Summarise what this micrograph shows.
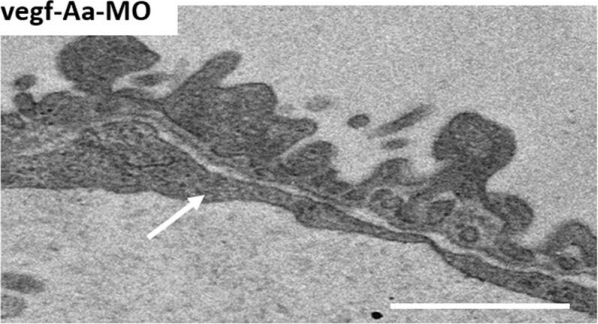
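This electron micrograph shows part of a glomerular filtration barrier with podocyte effacement and endotheliosis. A thin, pale basement membrane runs diagonally across the field. Above it, podocyte cytoplasm forms broad, irregular, dark bulges instead of a neat row of small separate foot processes; only a few small rounded profiles lie detached in the pale urinary space. Below the membrane, a thick, dense layer of cytoplasm lines the capillary side, lacking obvious thin, perforated stretches, and an arrow points to it. The capillary lumen below appears as a pale, finely granular area.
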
